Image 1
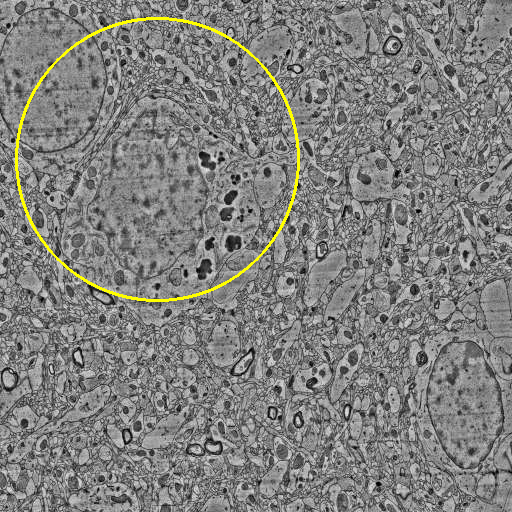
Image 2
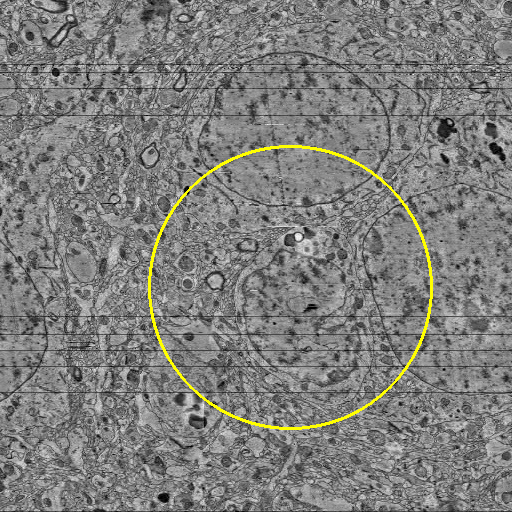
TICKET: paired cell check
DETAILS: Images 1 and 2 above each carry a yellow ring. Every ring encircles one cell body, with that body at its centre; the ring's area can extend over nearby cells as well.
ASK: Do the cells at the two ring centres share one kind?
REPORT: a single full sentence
Yes, the ring-centre cells of Images 1 and 2 belong to a single kind.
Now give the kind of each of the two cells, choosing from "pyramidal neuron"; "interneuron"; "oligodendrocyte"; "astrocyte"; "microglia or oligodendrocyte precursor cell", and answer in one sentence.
Each of the two cells is an interneuron.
